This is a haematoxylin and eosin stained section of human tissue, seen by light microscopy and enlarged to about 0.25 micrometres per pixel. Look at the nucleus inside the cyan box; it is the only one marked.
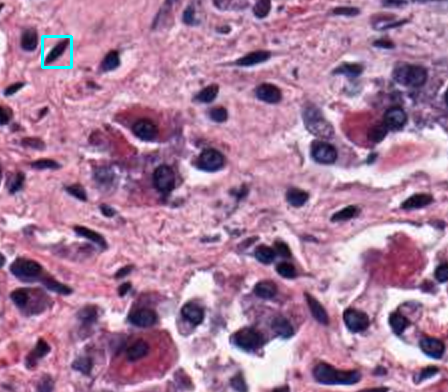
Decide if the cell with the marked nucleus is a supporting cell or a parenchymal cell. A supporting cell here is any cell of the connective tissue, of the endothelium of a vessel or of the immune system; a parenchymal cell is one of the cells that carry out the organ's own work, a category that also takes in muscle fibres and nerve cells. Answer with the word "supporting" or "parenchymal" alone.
supporting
